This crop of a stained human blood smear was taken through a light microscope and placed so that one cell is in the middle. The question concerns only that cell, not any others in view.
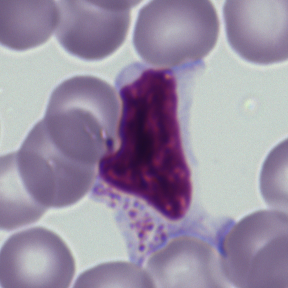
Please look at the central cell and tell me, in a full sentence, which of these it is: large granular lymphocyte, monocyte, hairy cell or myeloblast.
Classification of the middle cell gives a large granular lymphocyte.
